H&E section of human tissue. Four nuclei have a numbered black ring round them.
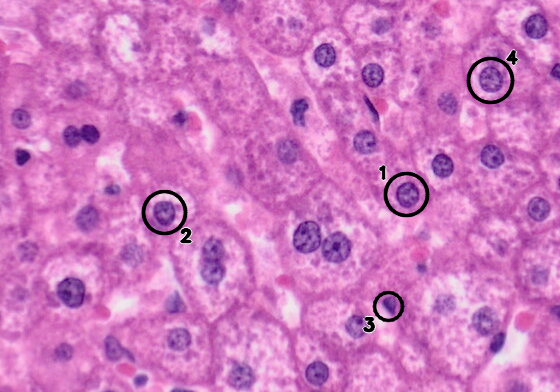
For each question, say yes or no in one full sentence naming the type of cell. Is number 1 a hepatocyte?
Yes, the number 1 belongs to a hepatocyte.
